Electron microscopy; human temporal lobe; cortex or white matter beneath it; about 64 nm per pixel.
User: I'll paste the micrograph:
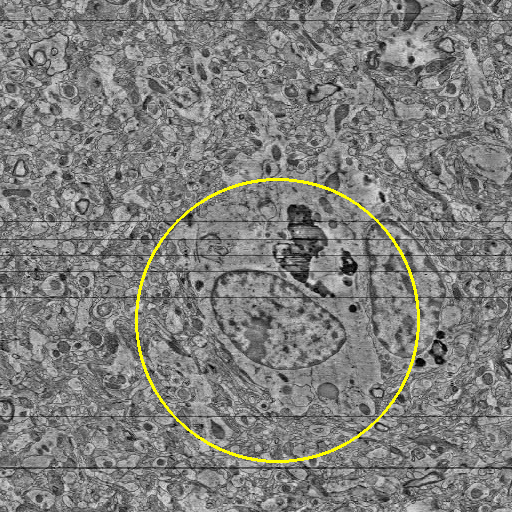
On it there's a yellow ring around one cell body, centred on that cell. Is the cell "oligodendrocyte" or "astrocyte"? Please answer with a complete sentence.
The cell ringed in yellow is an astrocyte.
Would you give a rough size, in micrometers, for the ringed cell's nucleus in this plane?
The nucleus comes to approximately 9 by 6 micrometres and is clearly longer than it is wide in this plane.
